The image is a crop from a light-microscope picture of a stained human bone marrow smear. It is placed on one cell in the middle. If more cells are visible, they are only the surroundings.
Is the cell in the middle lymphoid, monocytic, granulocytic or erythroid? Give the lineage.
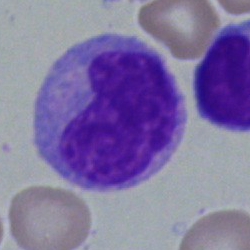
monocytic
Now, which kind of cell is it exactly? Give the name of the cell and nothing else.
monocyte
